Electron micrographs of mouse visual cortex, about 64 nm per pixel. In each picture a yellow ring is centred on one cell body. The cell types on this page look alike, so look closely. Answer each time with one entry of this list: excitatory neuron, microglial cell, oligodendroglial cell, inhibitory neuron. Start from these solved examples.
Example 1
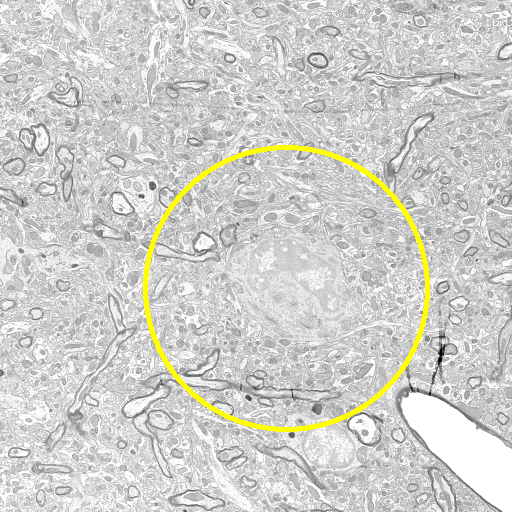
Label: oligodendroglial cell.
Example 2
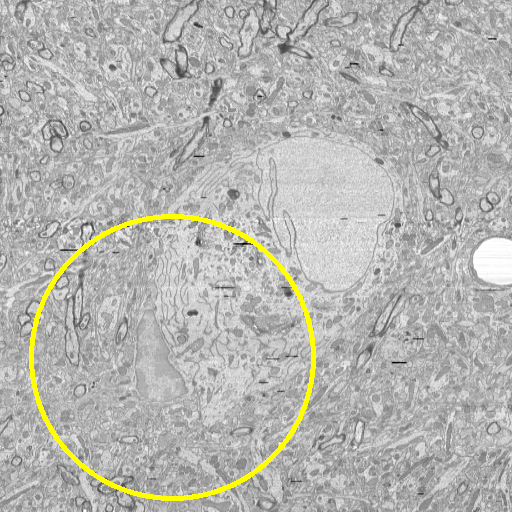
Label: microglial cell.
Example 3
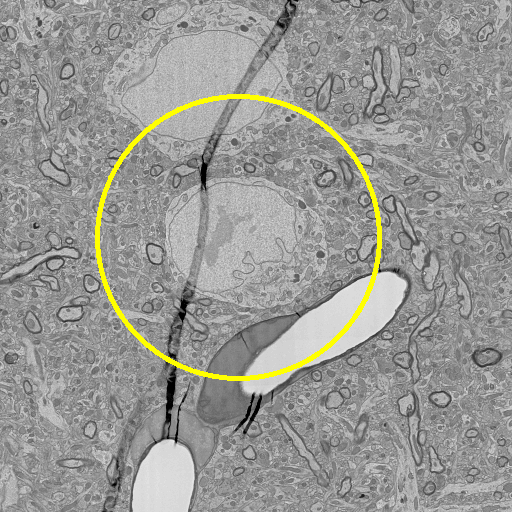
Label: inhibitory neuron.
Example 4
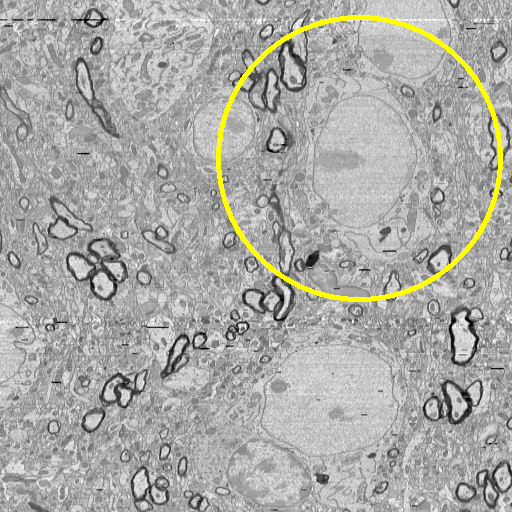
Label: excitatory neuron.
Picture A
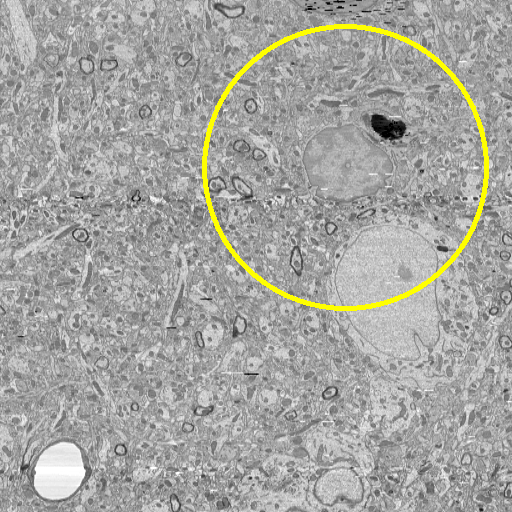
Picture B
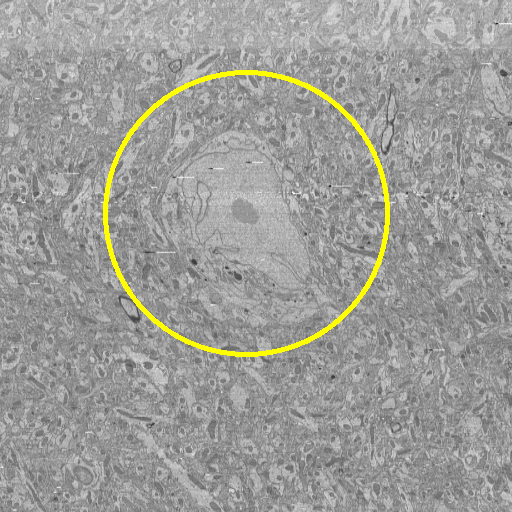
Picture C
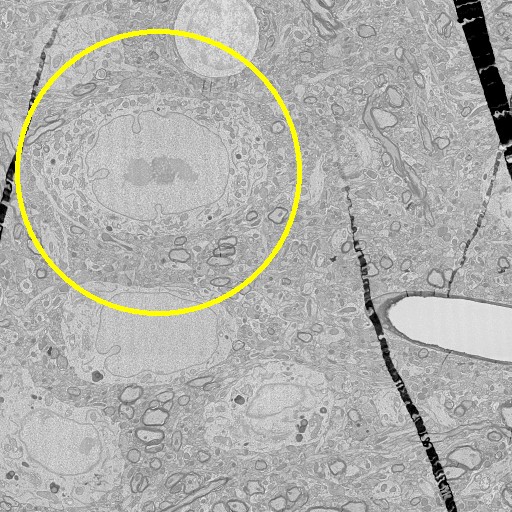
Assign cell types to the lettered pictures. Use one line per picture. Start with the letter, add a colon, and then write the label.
A: microglial cell.
B: inhibitory neuron.
C: inhibitory neuron.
